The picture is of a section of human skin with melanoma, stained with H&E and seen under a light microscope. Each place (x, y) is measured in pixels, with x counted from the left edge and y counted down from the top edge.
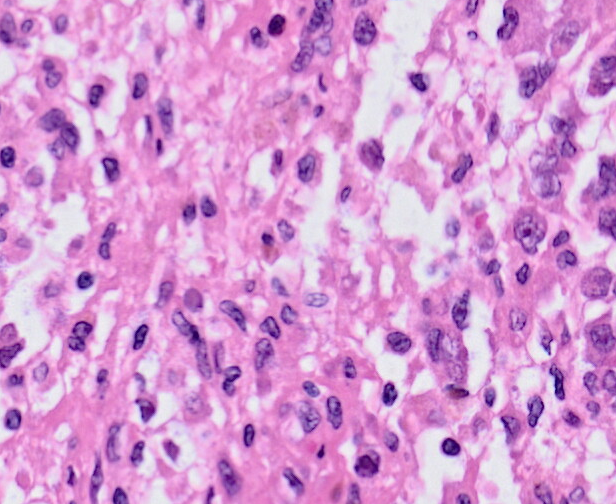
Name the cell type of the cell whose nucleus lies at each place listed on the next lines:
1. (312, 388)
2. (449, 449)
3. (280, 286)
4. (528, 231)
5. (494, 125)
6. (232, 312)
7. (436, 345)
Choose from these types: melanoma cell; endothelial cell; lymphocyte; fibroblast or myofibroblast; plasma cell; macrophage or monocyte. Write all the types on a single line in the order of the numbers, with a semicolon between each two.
lymphocyte; lymphocyte; macrophage or monocyte; melanoma cell; fibroblast or myofibroblast; macrophage or monocyte; melanoma cell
